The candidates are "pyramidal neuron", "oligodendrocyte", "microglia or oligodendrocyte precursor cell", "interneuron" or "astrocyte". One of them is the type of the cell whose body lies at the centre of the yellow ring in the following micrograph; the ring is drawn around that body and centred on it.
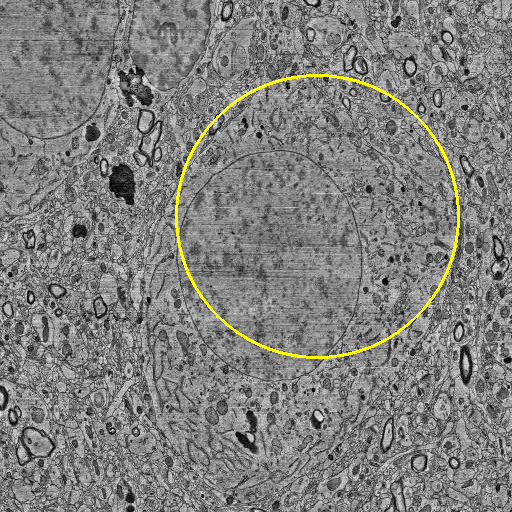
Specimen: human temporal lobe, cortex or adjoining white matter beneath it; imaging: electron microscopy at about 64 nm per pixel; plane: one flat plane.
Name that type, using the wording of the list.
pyramidal neuron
